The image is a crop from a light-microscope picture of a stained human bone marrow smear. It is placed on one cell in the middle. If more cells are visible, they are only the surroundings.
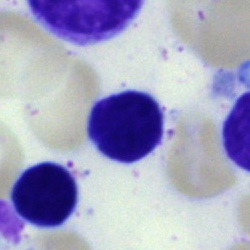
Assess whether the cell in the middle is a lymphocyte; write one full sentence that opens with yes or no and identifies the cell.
Yes, the central cell is to be recorded as a lymphocyte.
